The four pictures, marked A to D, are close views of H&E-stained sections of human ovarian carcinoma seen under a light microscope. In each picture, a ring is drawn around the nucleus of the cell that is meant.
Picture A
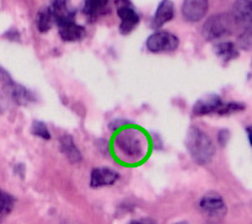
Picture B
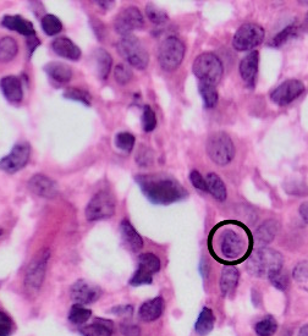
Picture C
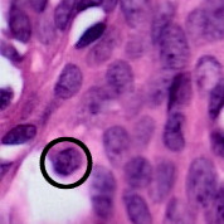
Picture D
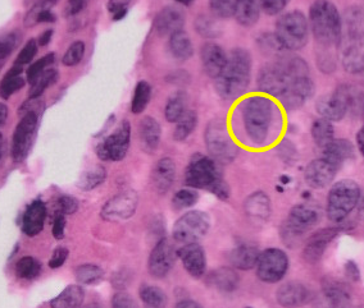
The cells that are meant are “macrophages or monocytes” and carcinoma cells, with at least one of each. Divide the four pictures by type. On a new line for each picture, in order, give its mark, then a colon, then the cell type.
A: macrophage or monocyte
B: macrophage or monocyte
C: macrophage or monocyte
D: carcinoma cell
